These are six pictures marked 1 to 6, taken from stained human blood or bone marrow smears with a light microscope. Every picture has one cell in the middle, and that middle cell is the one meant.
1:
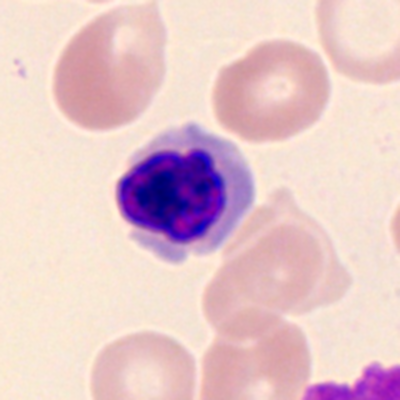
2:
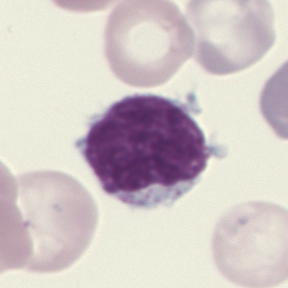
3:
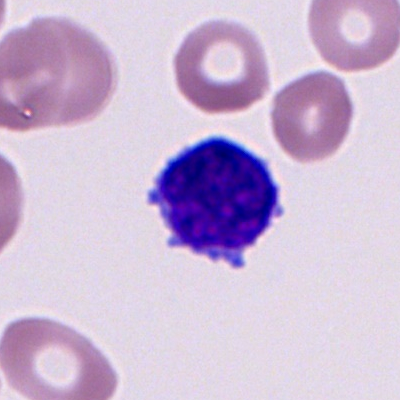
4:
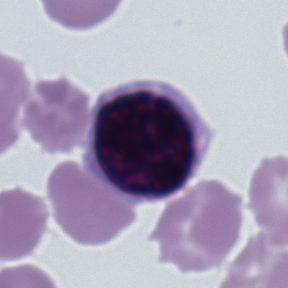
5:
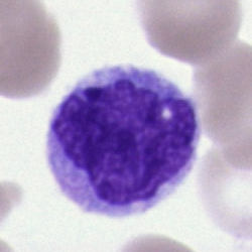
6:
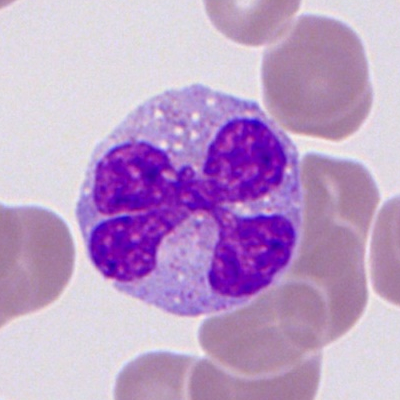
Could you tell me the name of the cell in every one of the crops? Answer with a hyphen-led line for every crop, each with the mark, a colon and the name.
- 1: erythroblast
- 2: lymphocyte
- 3: lymphocyte
- 4: erythroblast
- 5: monocyte
- 6: monocyte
